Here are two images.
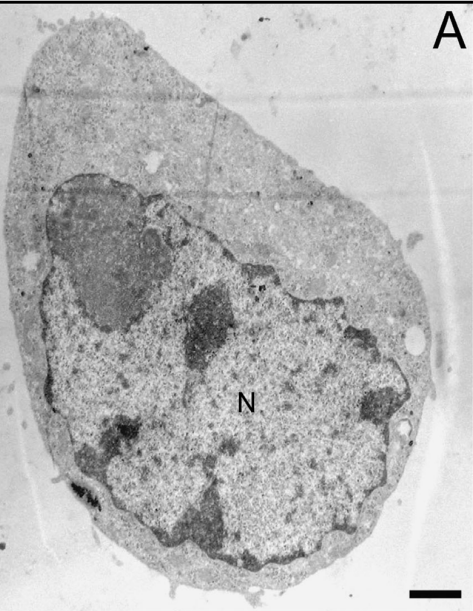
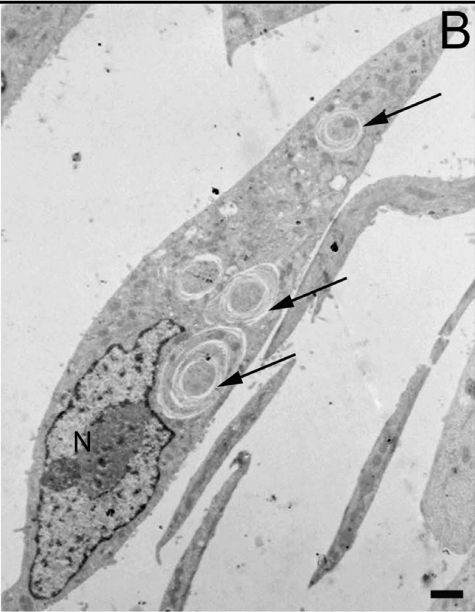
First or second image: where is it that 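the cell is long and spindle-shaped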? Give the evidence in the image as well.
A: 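Second image: the cell is drawn out into a long spindle with an elongated nucleus. First image: the cell is broad and rounded-oval with a large, irregular nucleus.
The second image.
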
